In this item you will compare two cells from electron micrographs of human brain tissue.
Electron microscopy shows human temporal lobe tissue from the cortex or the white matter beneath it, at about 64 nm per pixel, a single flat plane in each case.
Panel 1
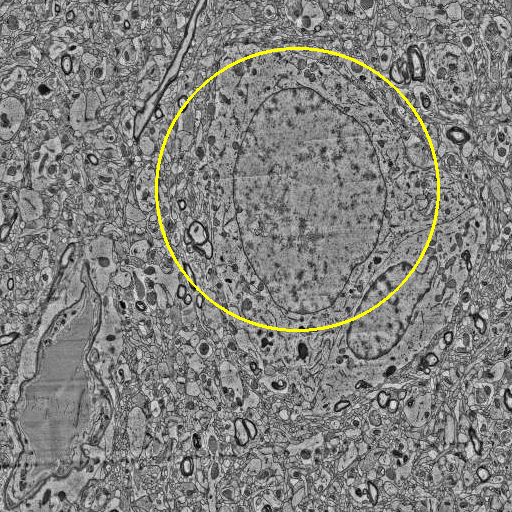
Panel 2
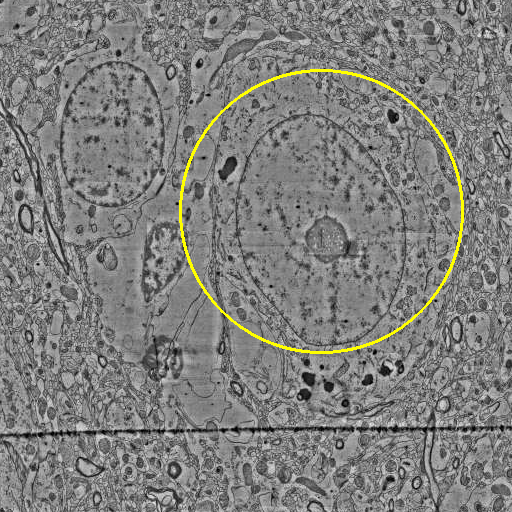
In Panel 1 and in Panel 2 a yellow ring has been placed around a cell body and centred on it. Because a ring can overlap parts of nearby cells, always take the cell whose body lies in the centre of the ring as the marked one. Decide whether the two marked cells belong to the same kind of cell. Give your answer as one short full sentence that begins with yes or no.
Yes, the two marked cells belong to the same kind of cell.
